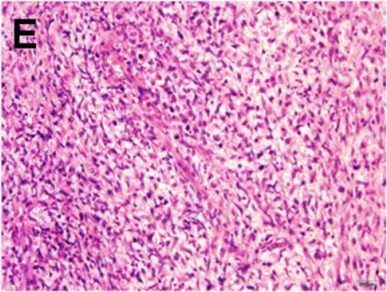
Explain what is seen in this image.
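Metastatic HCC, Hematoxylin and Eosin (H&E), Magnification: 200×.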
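Sarcomatous tumor cells packed densely in sheets. The cells are spindle-shaped with little cytoplasm and elongated, dark purple nuclei. No epithelial nests are seen.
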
